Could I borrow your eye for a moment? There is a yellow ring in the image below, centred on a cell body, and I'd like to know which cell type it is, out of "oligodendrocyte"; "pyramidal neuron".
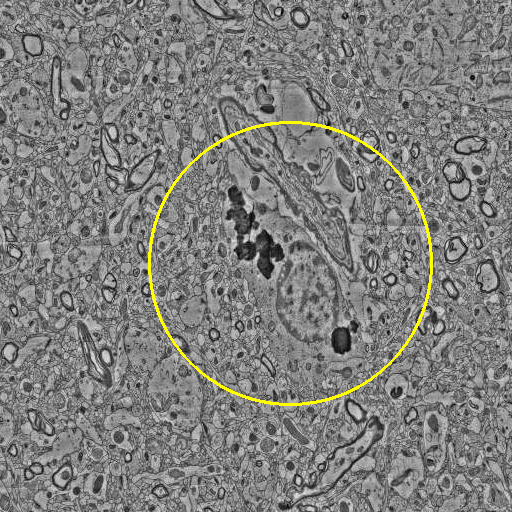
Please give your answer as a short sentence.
The cell body at the centre is that of an oligodendrocyte.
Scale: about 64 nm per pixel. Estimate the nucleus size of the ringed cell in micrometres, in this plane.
The nucleus works out at approximately 6 by 4 micrometres in this plane.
